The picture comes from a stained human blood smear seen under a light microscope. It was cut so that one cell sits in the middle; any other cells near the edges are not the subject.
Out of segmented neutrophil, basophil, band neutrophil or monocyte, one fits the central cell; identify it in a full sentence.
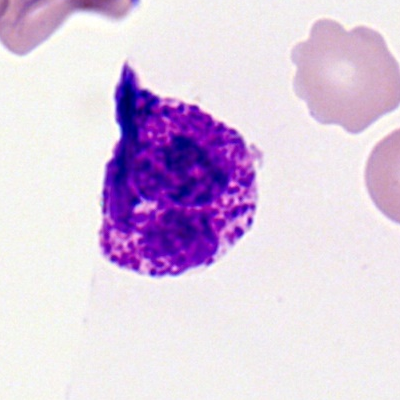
The cell positioned in the middle of the field is a basophil.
